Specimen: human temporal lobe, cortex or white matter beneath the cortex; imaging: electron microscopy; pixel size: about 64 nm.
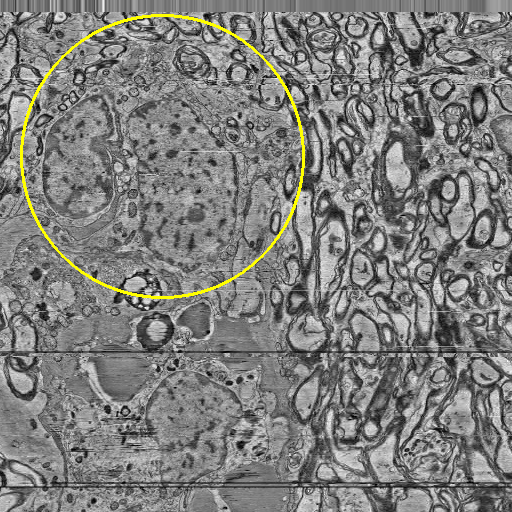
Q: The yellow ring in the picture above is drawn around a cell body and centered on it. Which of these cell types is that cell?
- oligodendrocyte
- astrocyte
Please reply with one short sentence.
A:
The cell body at the ring's center belongs to an astrocyte.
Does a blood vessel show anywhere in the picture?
Yes, there is a blood vessel.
